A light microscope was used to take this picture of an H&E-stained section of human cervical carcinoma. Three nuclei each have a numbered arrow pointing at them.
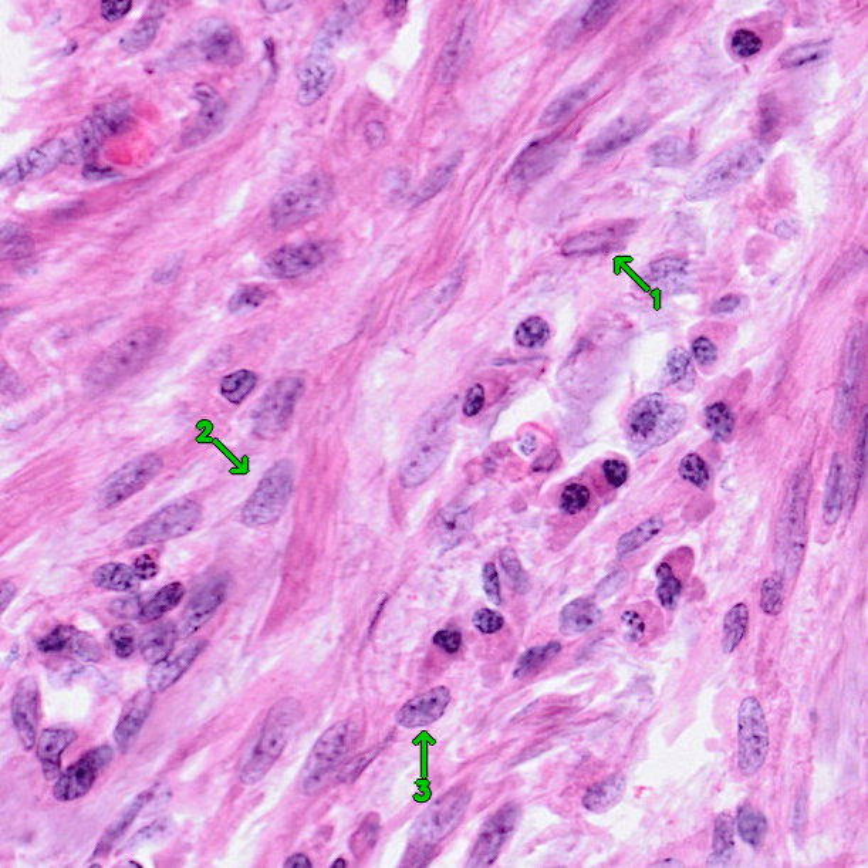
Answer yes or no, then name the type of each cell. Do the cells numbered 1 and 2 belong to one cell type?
Yes, both are fibroblasts.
